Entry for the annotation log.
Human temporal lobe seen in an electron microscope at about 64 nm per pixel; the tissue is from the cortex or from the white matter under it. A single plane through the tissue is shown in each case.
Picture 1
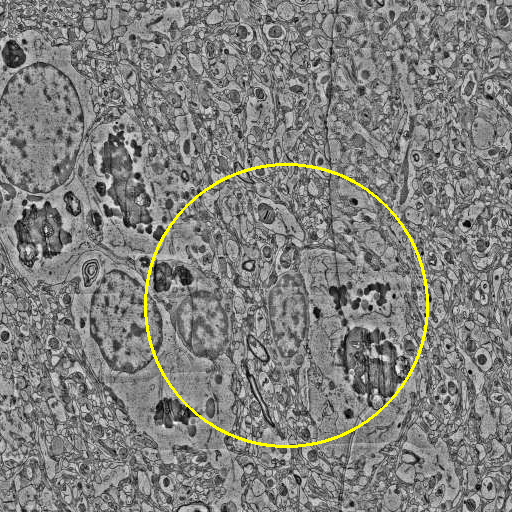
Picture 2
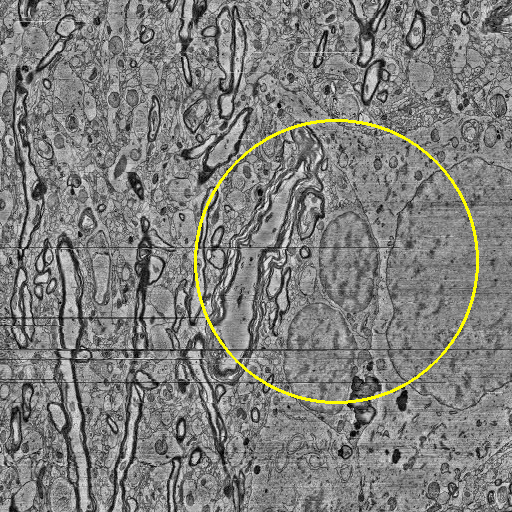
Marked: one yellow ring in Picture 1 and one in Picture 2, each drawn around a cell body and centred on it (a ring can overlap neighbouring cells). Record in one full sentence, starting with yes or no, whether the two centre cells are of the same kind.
Yes, both cells are of the same kind.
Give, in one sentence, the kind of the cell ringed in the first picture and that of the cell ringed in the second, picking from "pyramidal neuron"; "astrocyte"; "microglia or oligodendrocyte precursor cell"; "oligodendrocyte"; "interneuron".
The ring centre holds an oligodendrocyte in each of the two pictures.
